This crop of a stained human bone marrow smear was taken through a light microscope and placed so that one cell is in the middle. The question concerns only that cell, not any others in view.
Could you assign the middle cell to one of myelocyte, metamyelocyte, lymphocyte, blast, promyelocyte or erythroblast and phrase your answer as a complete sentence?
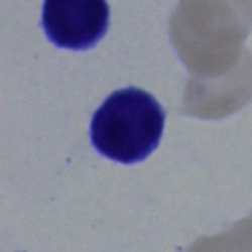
The cell found in the middle of this crop is a lymphocyte.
